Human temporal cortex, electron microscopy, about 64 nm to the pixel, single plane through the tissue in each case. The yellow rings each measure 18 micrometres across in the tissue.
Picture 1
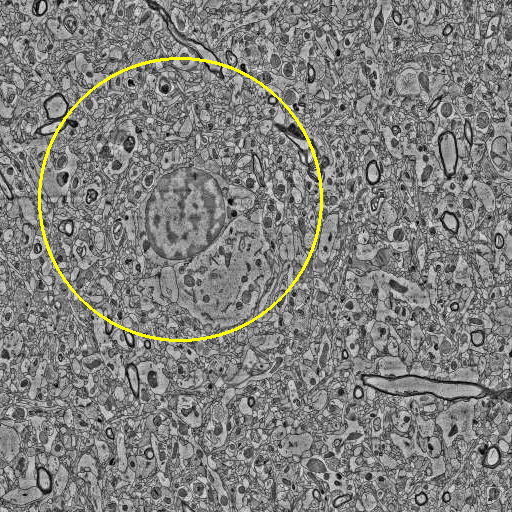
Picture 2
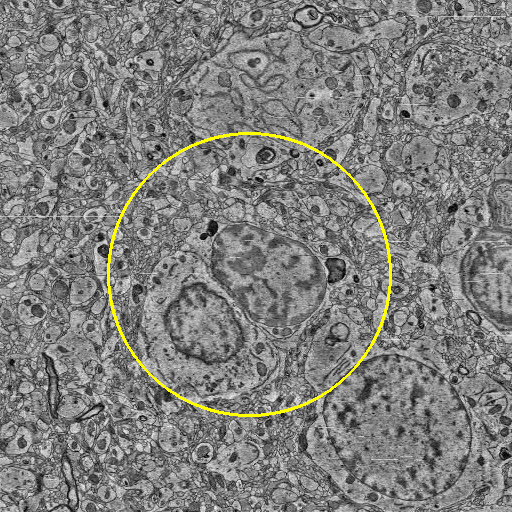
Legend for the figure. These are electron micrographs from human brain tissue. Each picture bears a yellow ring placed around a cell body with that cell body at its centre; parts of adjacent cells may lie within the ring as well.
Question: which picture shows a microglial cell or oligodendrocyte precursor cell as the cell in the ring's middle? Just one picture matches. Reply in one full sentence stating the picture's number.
It is picture 2 whose yellow ring is centred on the requested cell.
